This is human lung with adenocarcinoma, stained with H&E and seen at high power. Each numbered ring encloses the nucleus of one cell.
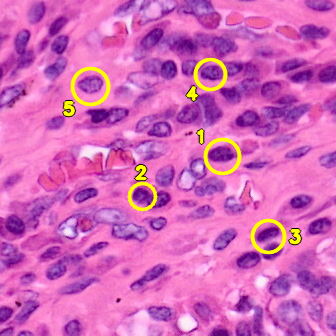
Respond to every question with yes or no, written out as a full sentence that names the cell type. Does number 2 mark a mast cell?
No, cell 2 does not count as a mast cell; it is a plasma cell.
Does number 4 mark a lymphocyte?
Yes, on this slide, the cell with number 4 is a lymphocyte.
